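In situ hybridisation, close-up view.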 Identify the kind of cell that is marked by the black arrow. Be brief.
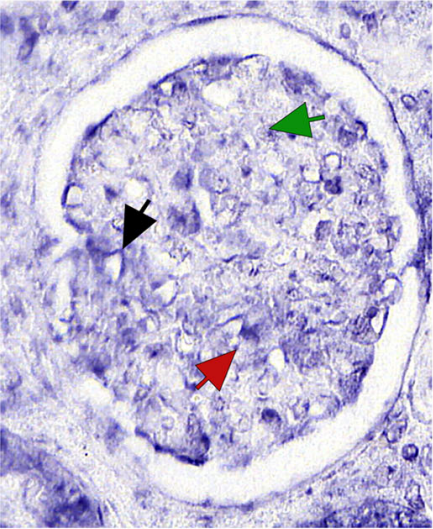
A: podocytes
